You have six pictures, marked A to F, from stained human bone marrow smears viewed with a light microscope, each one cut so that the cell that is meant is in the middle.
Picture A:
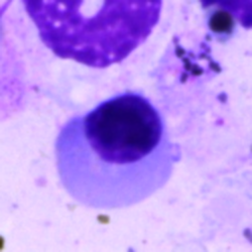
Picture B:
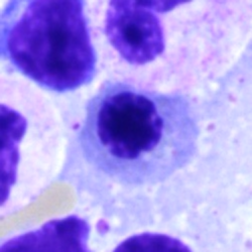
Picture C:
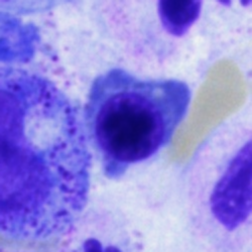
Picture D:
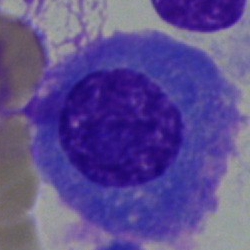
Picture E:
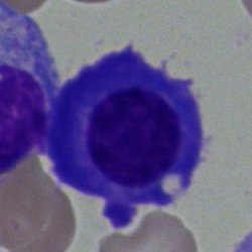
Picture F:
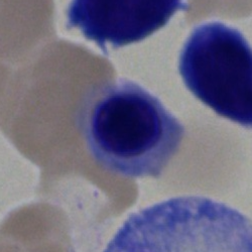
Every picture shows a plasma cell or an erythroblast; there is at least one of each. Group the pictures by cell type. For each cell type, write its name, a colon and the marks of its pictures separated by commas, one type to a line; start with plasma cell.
plasma cell: D, E
erythroblast: A, B, C, F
